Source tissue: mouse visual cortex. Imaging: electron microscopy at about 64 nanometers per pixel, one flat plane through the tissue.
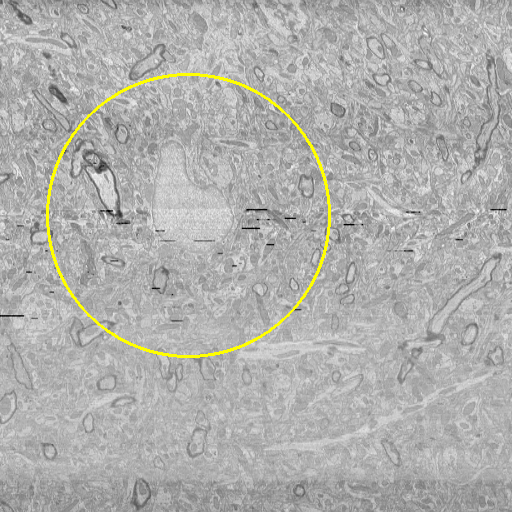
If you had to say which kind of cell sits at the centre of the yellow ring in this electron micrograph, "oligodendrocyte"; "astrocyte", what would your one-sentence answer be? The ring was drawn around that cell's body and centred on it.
The cell sitting at the centre of the ring is an astrocyte.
